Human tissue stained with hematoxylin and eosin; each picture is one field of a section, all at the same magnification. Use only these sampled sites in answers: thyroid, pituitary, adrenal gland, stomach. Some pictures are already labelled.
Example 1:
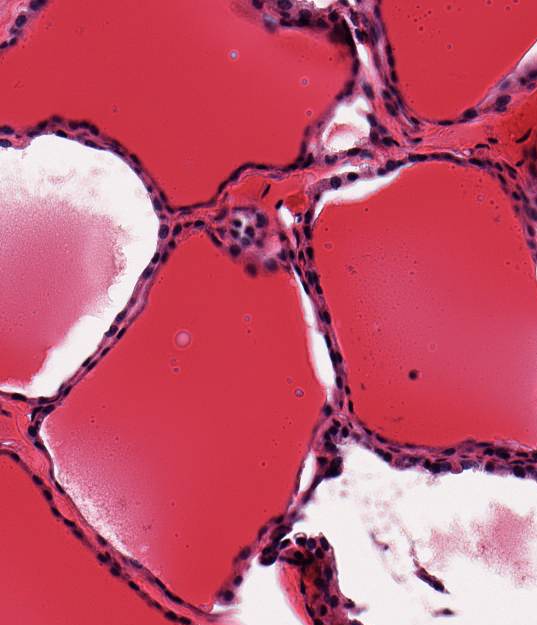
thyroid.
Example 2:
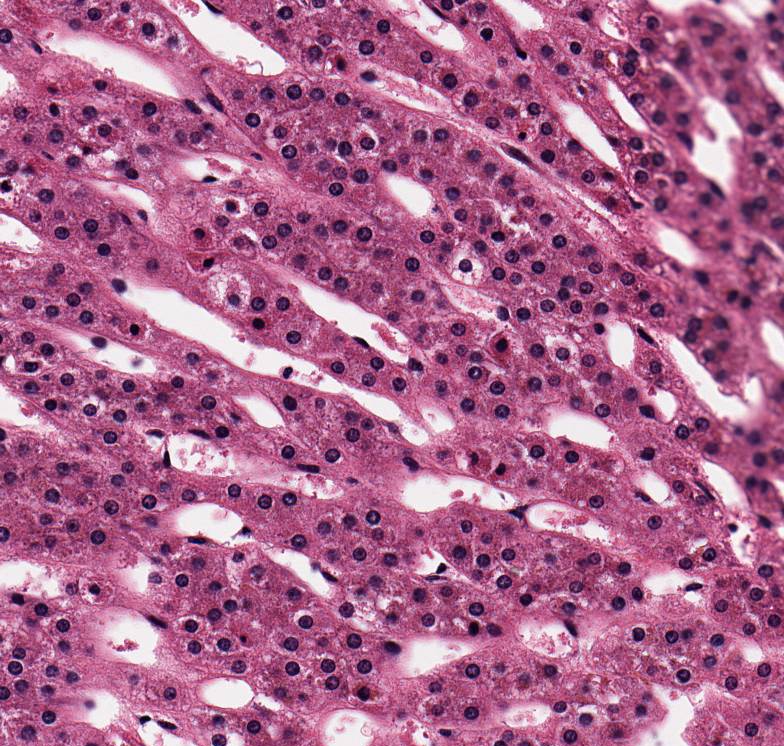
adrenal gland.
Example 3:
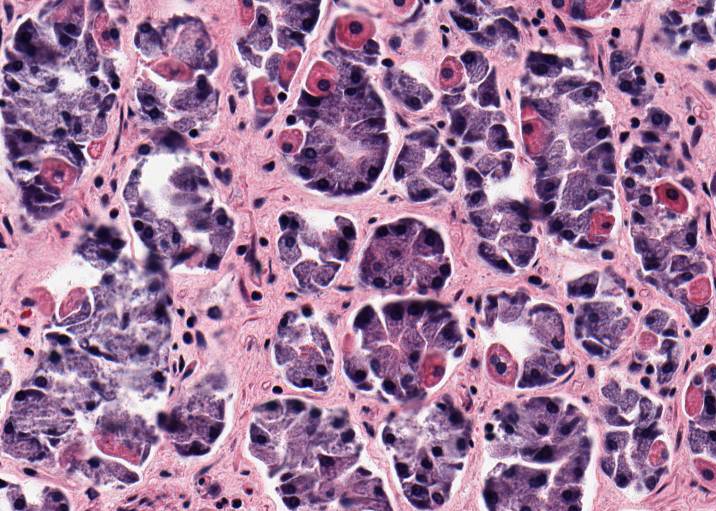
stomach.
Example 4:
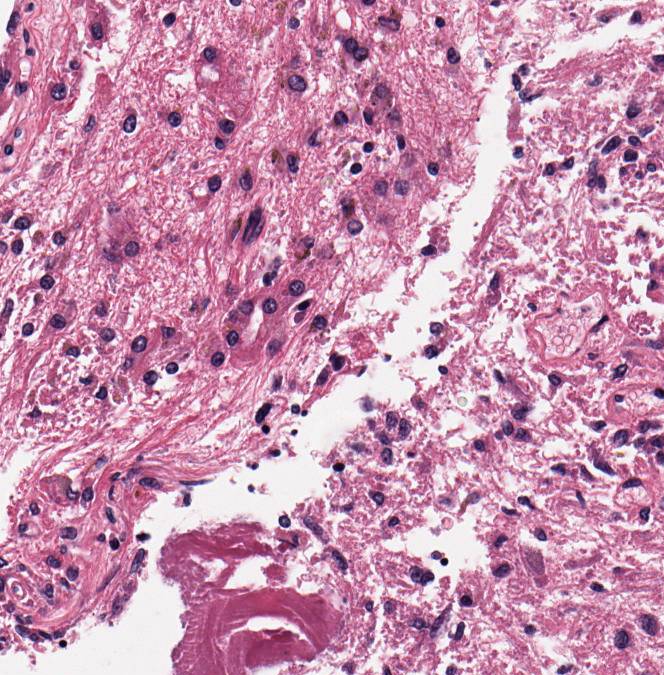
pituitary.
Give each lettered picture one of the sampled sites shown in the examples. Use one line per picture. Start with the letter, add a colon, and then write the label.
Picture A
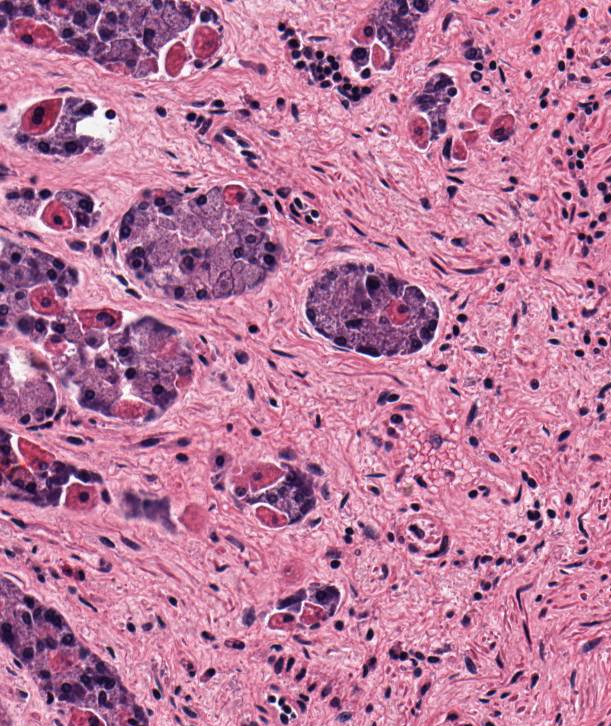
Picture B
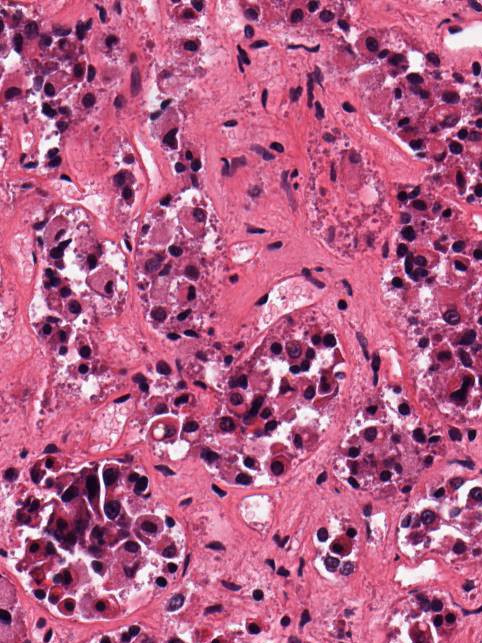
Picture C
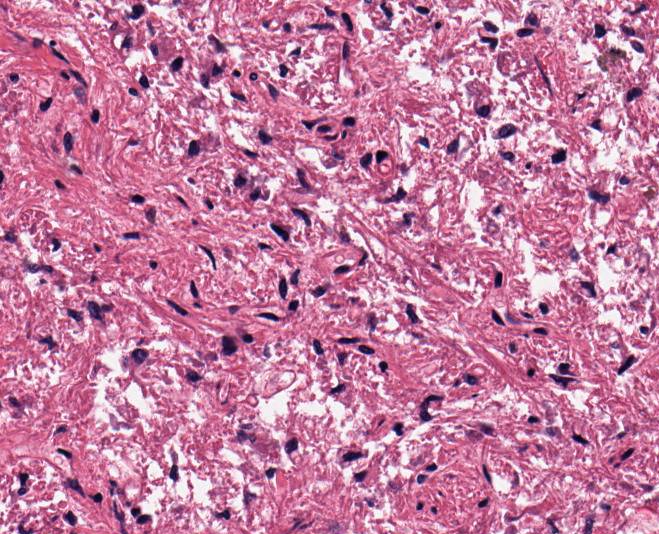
A: stomach.
B: pituitary.
C: pituitary.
